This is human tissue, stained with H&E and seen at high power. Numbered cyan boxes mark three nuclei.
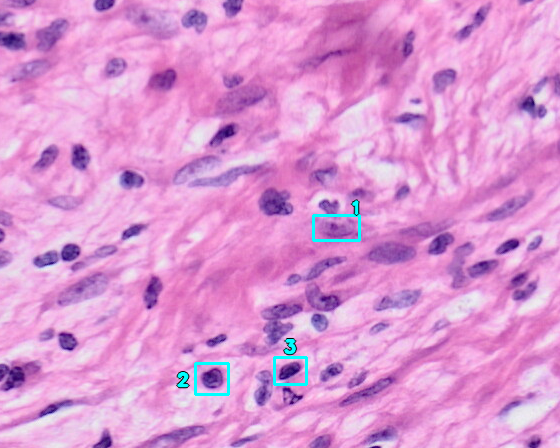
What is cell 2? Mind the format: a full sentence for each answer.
The cell indicated by marker 2 is a lymphocyte in this section.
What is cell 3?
The correct label for cell 3 is a lymphocyte.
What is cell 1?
Classified as a fibroblast or myofibroblast is the cell with the number 1.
